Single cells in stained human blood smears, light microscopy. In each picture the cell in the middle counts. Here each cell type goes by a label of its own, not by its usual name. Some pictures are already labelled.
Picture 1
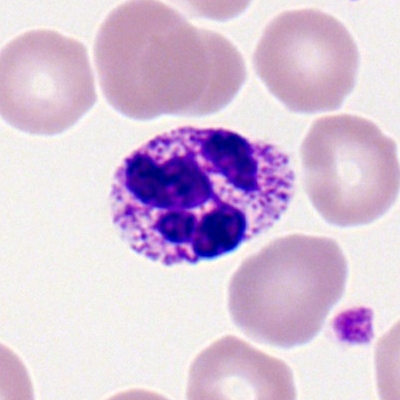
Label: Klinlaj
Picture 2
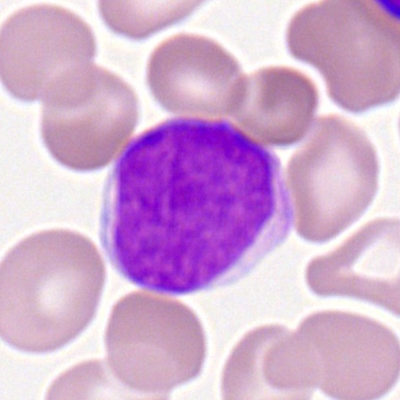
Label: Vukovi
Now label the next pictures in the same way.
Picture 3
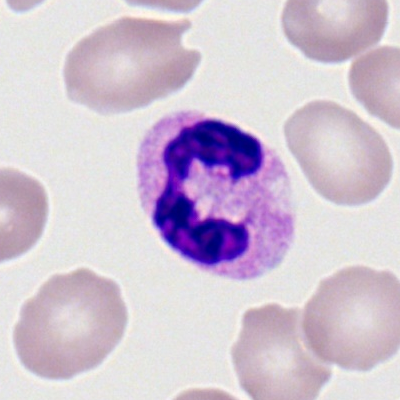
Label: Klinlaj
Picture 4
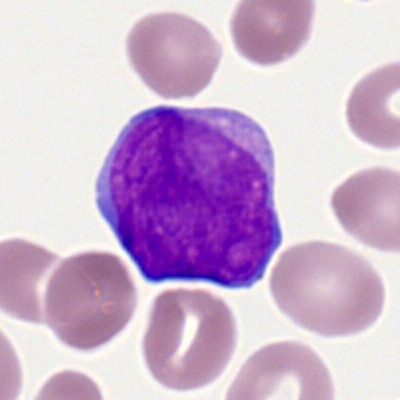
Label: Vukovi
